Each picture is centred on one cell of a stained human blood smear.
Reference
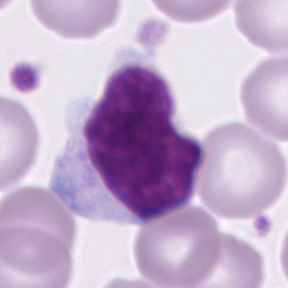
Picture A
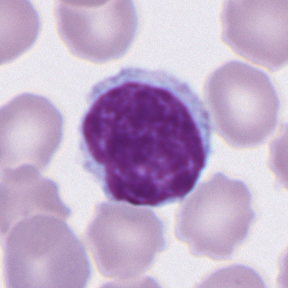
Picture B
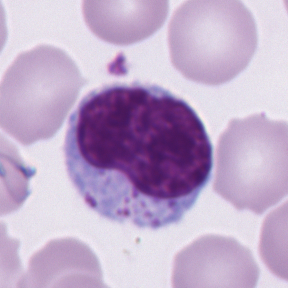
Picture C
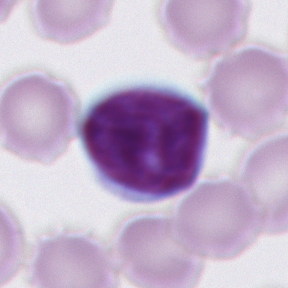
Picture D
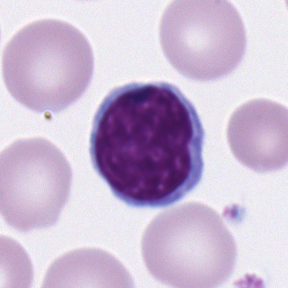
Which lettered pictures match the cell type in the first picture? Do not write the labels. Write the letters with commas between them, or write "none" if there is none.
B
